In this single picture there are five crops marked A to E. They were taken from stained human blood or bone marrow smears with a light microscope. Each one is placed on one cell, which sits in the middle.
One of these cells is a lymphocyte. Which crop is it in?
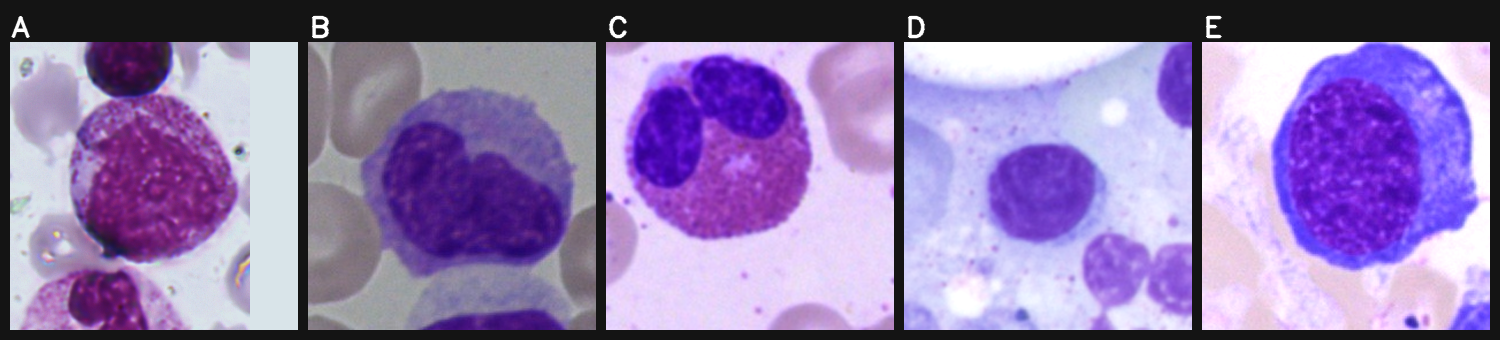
D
